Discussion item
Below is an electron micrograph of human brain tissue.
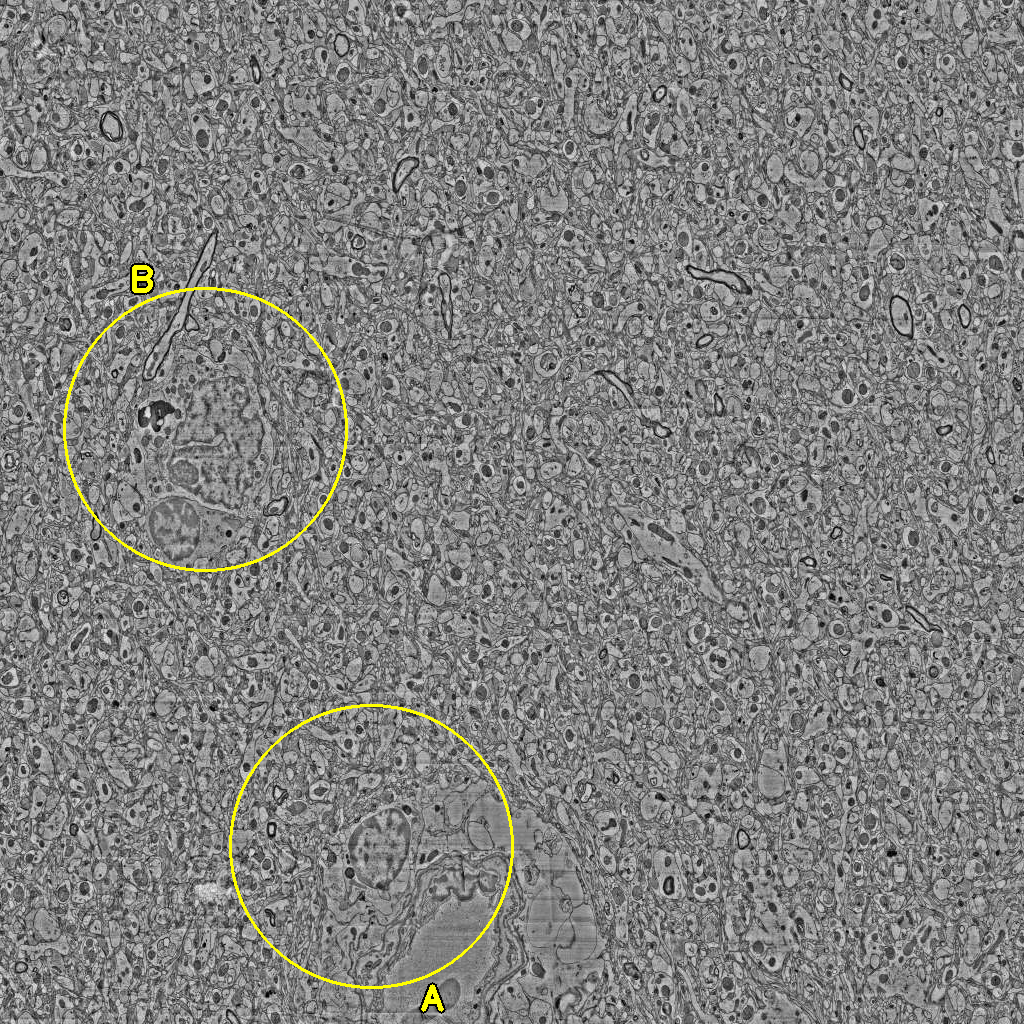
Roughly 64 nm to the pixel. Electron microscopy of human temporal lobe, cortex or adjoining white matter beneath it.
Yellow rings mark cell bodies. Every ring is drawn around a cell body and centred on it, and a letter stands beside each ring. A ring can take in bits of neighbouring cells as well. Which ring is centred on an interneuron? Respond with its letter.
B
